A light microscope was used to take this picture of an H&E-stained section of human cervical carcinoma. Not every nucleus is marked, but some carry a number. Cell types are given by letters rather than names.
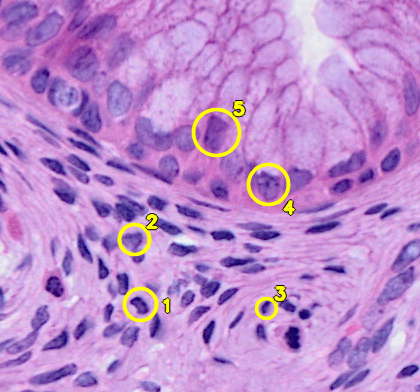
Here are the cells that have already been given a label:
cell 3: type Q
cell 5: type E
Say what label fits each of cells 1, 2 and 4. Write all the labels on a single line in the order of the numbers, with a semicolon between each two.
type Q; type Q; type E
